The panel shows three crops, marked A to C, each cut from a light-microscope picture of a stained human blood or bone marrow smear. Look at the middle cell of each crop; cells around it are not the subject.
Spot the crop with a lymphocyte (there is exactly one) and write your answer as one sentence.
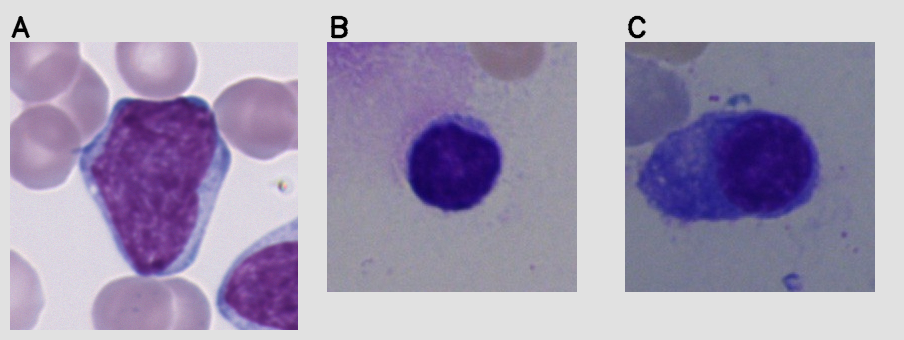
It is in crop B, among all the crops, that a lymphocyte is present.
